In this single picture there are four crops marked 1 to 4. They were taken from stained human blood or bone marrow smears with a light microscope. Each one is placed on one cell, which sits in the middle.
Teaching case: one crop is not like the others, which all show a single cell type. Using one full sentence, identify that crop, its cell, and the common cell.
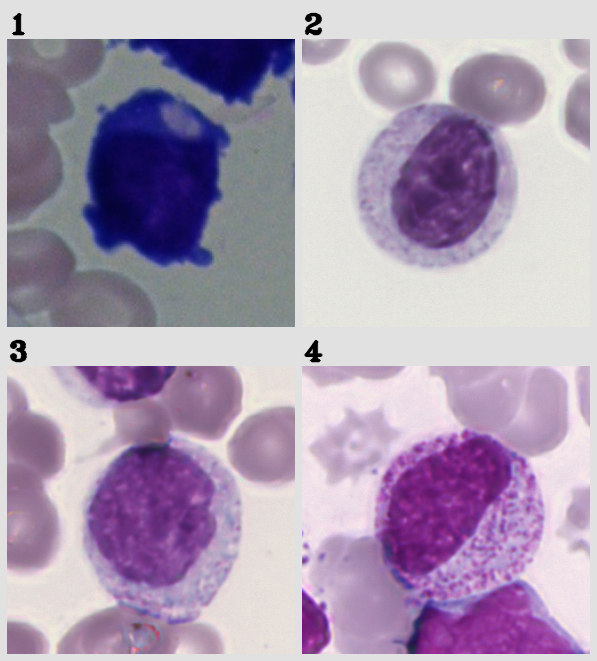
Crop 1 is the odd one out, being a blast, while all the other crops show myelocytes.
